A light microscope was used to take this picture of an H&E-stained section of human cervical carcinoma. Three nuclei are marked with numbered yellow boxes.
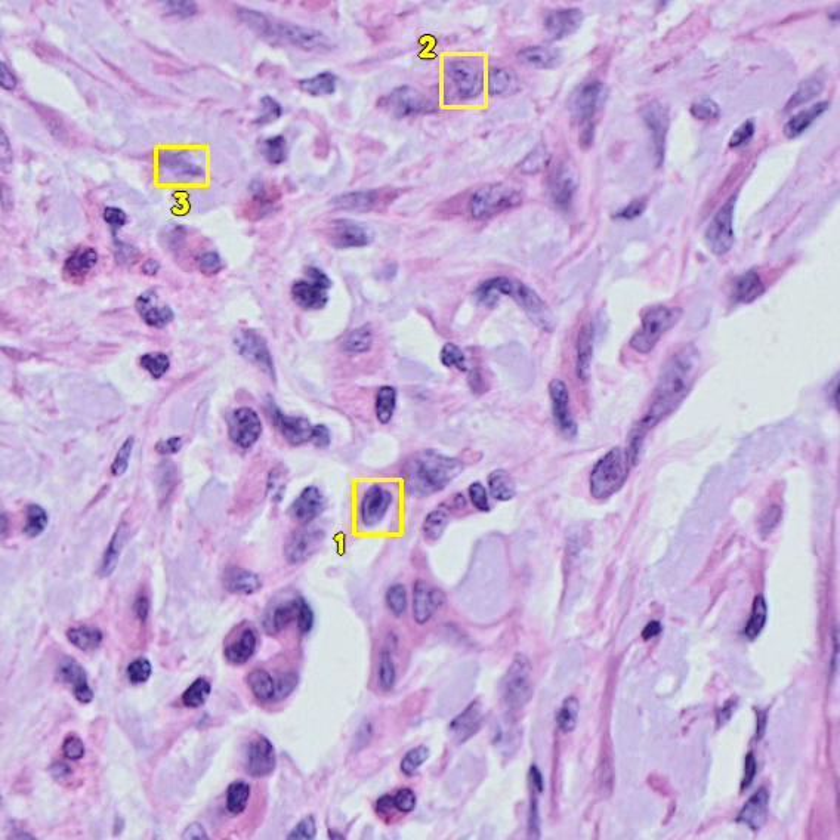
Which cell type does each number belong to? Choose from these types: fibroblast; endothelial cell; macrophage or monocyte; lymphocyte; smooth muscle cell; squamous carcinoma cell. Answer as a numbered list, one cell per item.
1. lymphocyte
2. endothelial cell
3. fibroblast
